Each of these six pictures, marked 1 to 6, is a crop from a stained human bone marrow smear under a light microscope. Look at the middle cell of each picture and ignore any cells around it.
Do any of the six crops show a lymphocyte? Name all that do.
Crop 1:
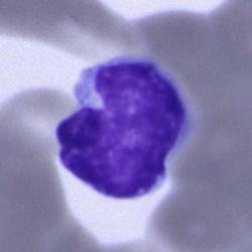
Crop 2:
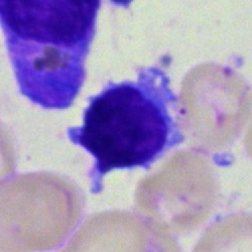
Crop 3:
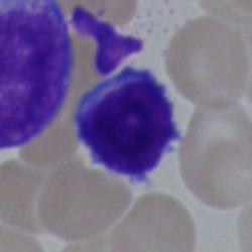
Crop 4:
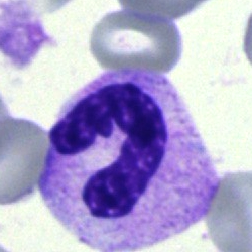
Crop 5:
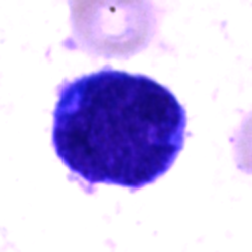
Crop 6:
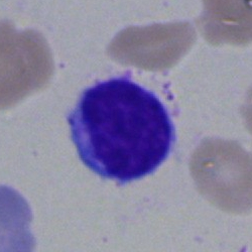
1, 2, 3, 6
